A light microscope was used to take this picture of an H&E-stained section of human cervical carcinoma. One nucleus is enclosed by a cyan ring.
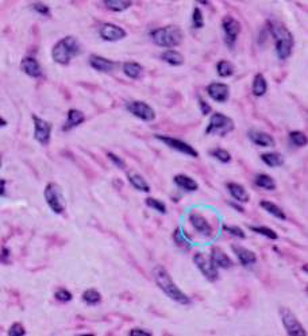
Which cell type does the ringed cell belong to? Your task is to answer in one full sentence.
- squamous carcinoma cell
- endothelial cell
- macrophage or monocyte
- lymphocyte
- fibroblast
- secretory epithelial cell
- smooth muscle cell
Right, so the ringed cell is a smooth muscle cell, to answer that.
